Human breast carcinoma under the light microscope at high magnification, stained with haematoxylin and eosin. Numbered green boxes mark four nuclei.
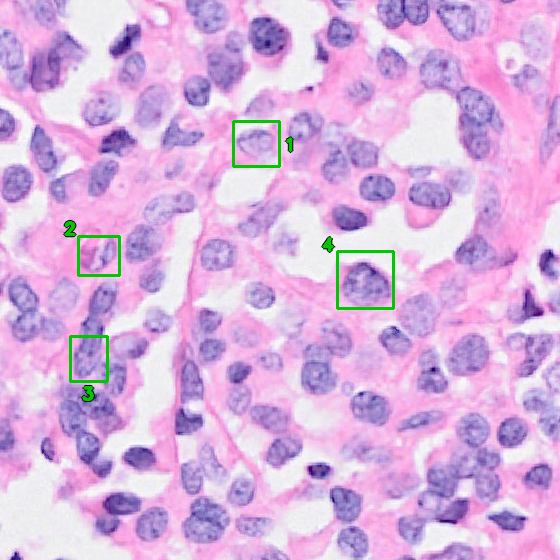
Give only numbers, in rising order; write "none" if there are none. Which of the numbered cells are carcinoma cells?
1, 3, 4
